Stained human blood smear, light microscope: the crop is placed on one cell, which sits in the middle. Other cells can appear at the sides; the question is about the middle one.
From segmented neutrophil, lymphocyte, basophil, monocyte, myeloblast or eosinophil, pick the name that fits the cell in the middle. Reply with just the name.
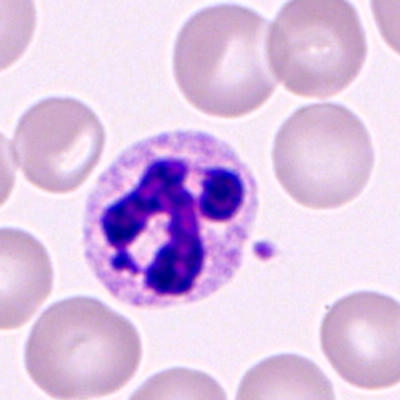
segmented neutrophil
